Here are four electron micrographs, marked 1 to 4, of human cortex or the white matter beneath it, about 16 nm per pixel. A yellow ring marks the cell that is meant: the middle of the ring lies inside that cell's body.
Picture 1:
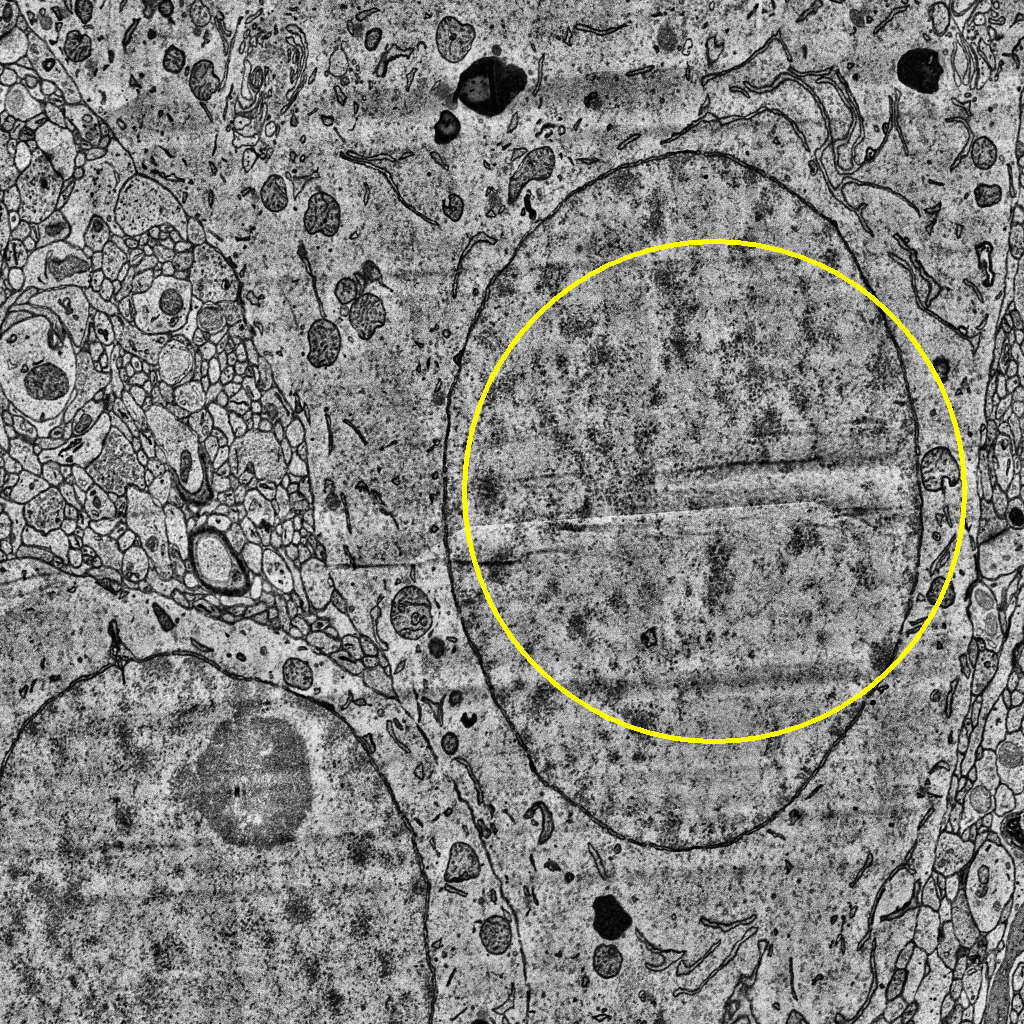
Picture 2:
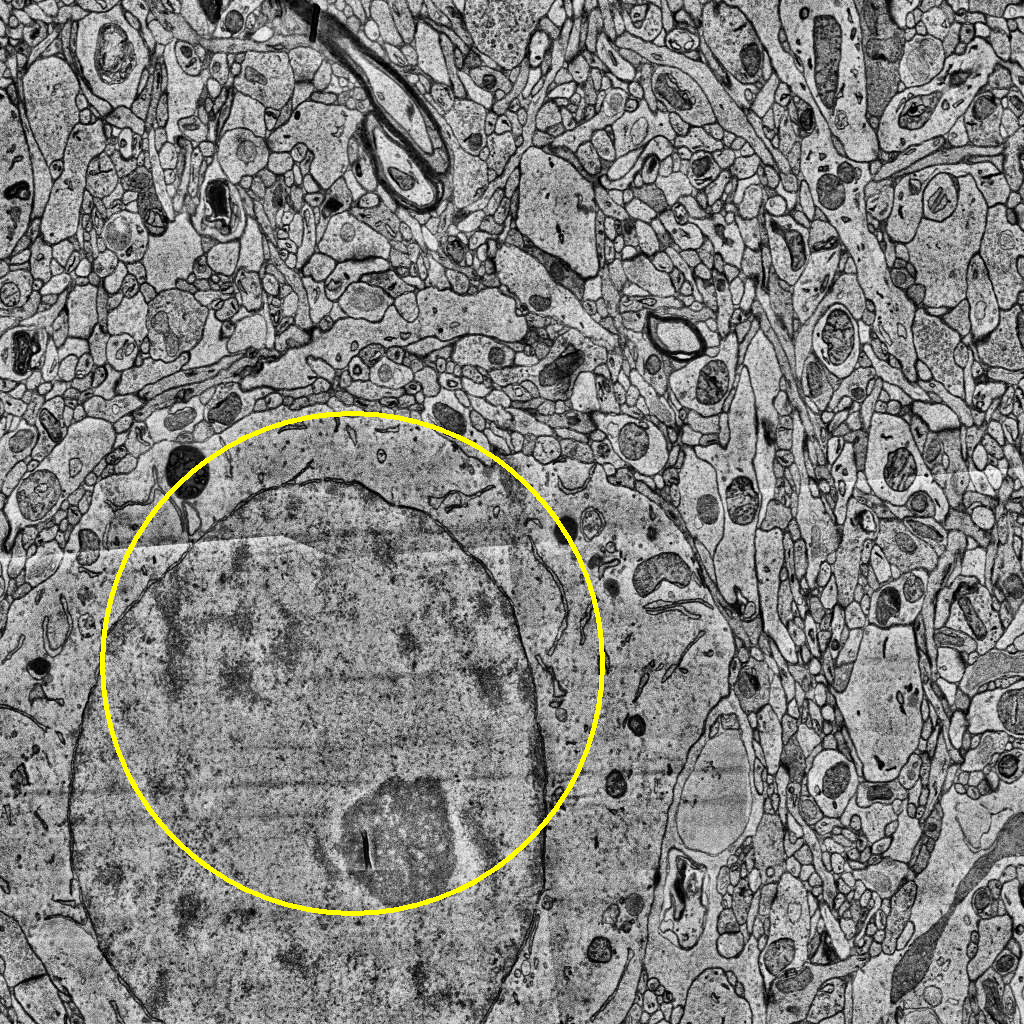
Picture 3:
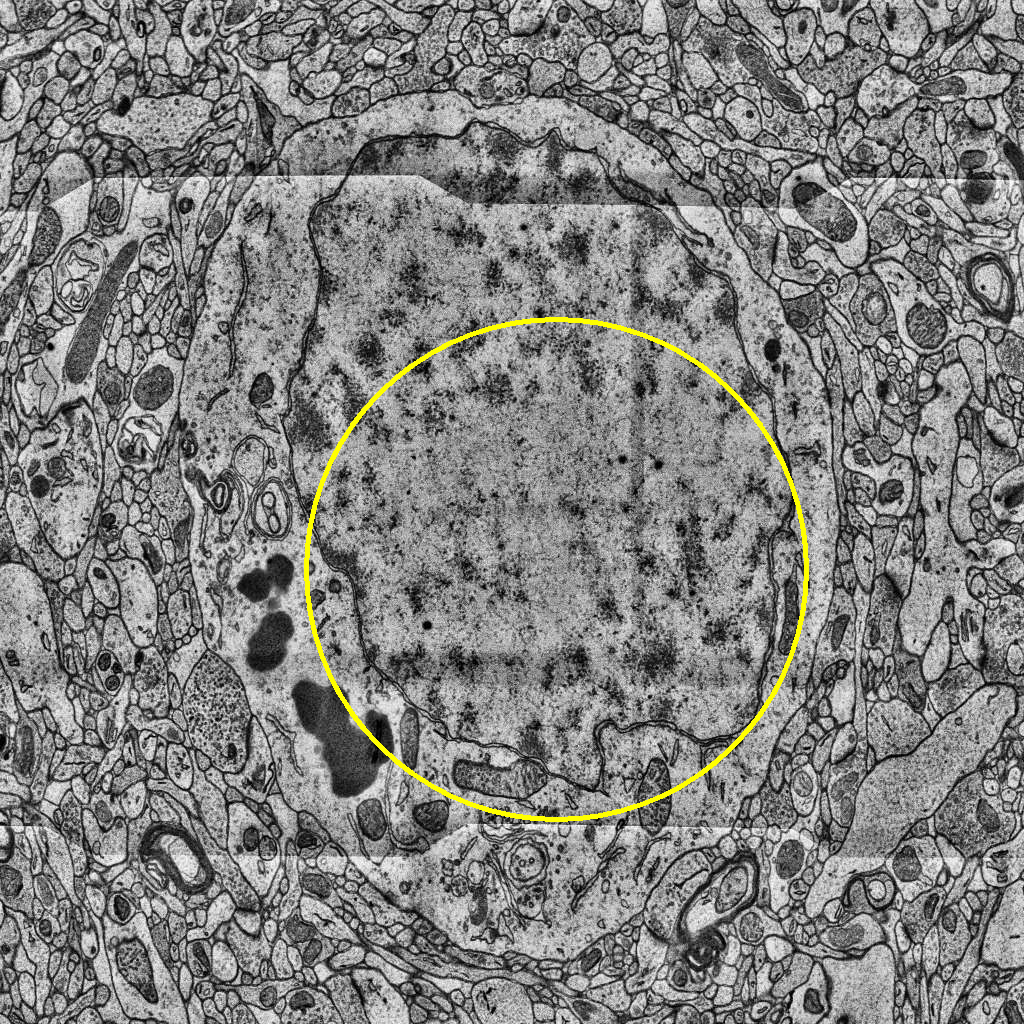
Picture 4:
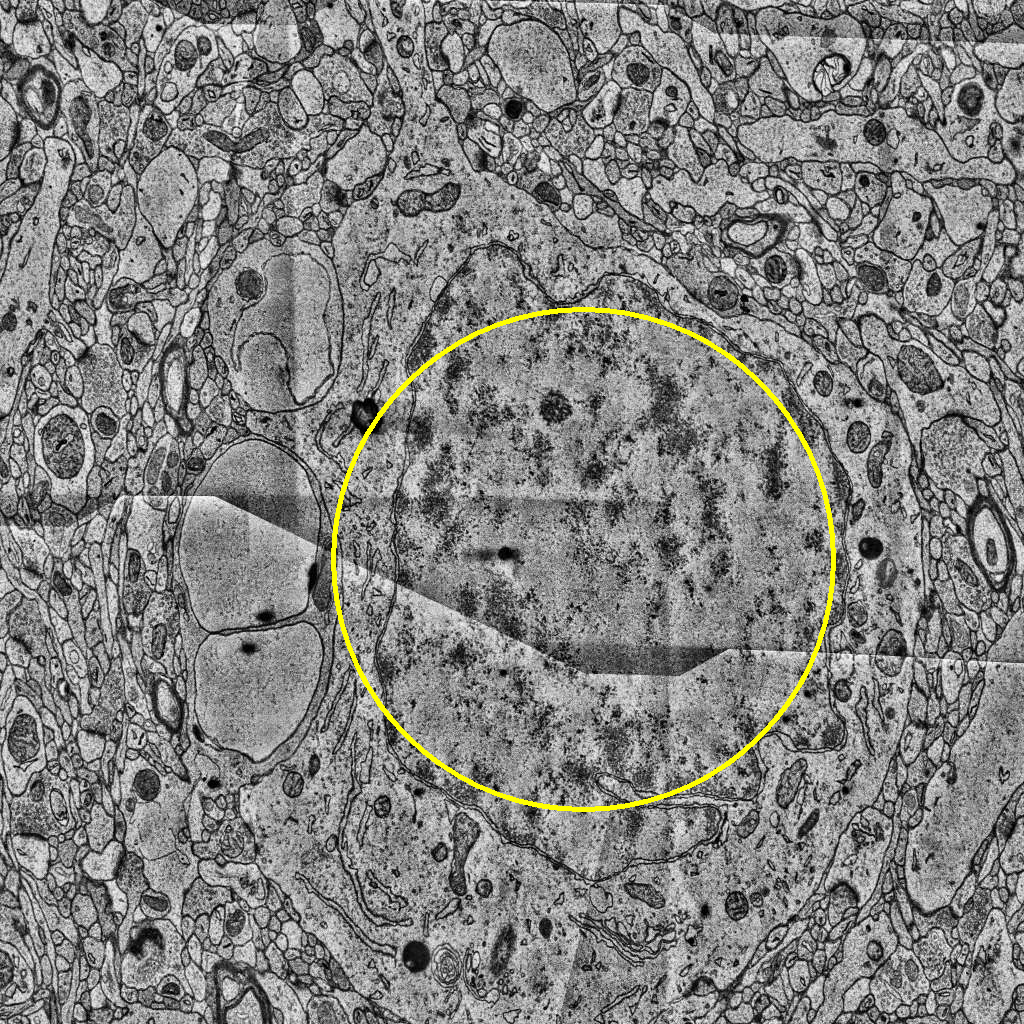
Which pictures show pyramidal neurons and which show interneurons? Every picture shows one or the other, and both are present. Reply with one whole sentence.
Pictures 1 and 2 show pyramidal neurons; pictures 3 and 4 show interneurons.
